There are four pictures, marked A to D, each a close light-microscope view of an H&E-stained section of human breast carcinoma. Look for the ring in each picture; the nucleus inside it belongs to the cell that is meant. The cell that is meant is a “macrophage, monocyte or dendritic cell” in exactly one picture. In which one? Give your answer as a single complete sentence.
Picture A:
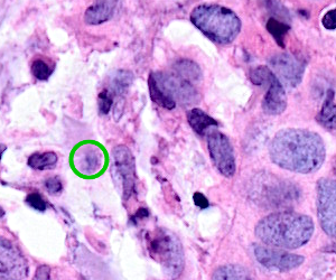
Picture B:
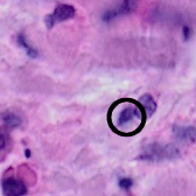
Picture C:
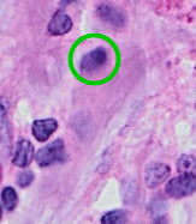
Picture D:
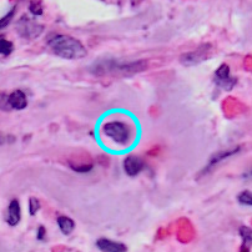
The “macrophage, monocyte or dendritic cell” is the one in picture A.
